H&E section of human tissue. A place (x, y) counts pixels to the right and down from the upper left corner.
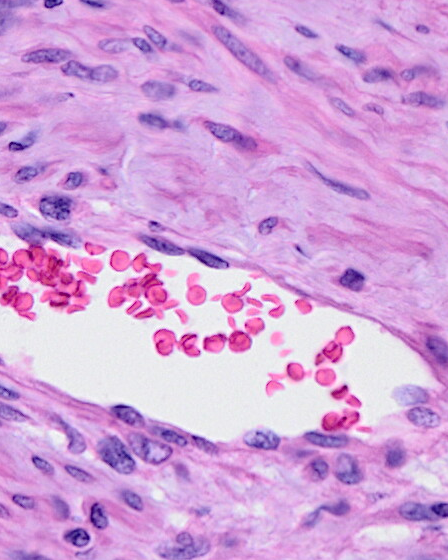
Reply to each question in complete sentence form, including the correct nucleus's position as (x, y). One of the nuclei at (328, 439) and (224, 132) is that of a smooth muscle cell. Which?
It is the nucleus at (224, 132), not the other one, that belongs to a smooth muscle cell.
